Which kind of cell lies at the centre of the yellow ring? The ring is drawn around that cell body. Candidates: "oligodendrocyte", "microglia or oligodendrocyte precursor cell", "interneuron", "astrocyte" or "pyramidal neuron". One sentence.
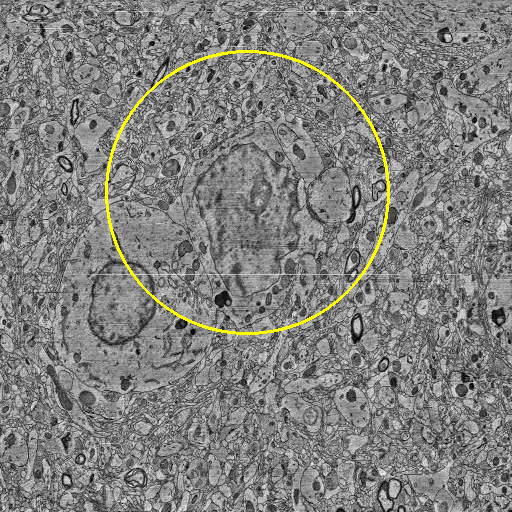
Lying at the centre of the ring is an interneuron.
